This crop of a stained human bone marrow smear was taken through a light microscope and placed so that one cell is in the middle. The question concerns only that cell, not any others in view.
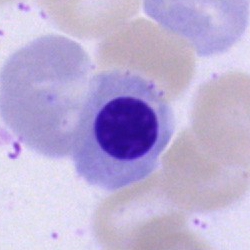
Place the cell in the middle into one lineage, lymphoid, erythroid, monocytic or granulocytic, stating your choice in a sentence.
The central cell's lineage is erythroid.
